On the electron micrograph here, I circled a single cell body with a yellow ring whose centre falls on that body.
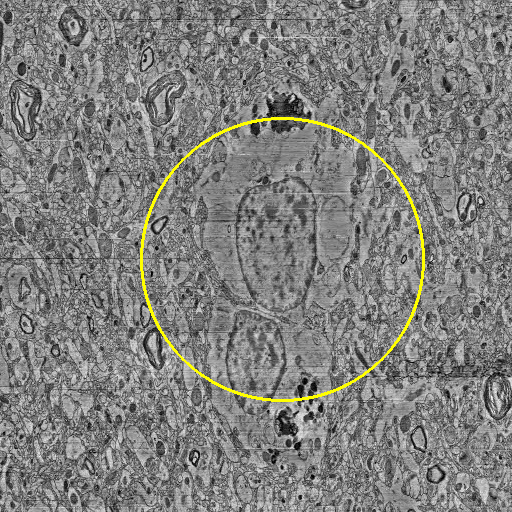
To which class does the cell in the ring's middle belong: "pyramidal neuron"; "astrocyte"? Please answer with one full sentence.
In this picture, the cell body circled at the ring's centre belongs to an astrocyte.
